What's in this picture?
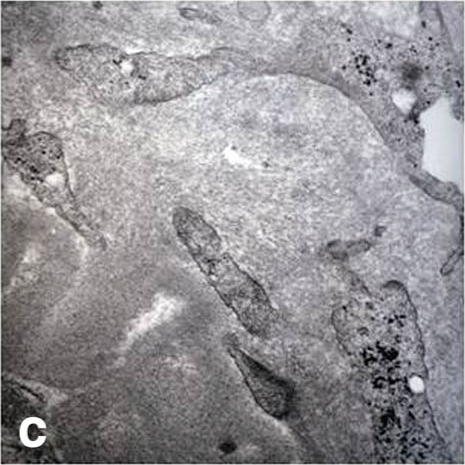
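This electron micrograph shows broad expanses of finely textured, fibrillar grey material filling the space between cells. The fibrillar deposit takes up most of the field, pushing the cells apart.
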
